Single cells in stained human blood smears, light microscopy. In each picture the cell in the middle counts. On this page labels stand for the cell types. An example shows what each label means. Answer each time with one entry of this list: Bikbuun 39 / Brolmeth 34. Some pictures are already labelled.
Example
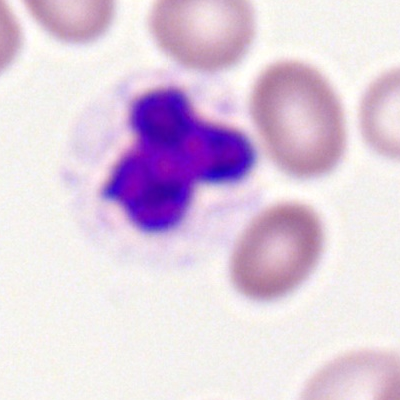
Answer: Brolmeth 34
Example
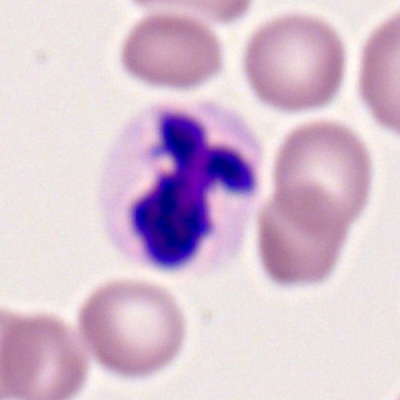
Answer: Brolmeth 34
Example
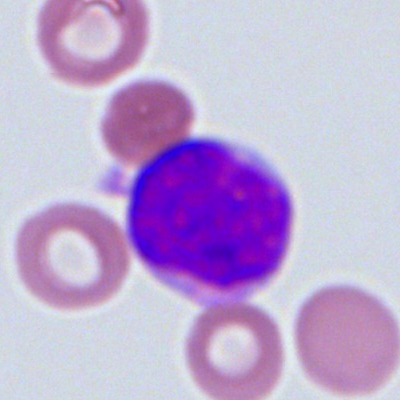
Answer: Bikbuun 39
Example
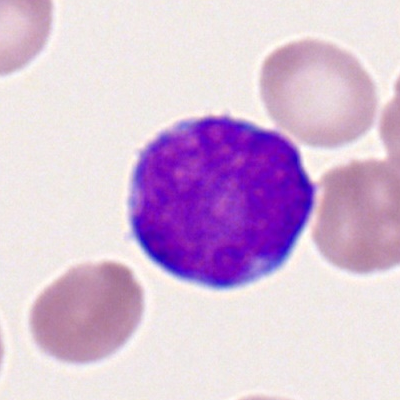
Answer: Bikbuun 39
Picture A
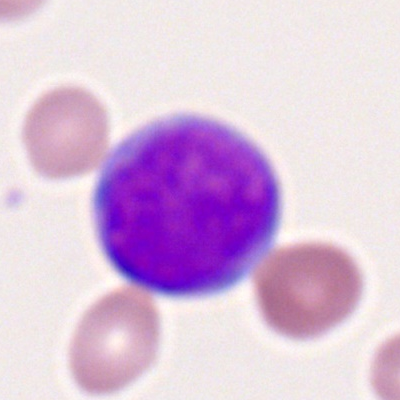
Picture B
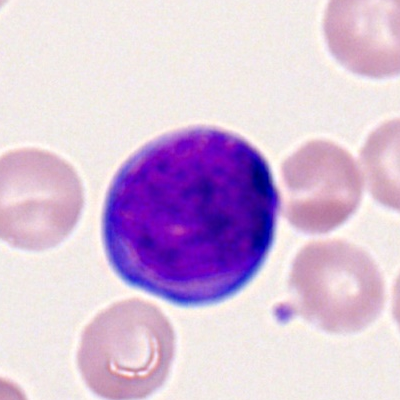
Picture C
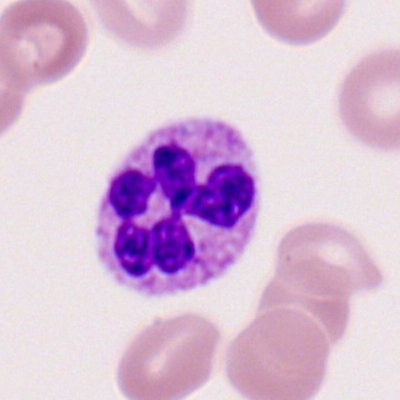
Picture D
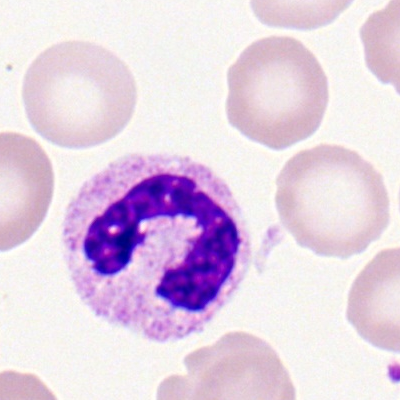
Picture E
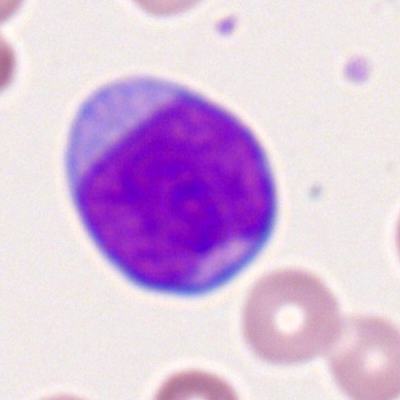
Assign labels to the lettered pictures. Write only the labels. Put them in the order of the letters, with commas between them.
Bikbuun 39, Bikbuun 39, Brolmeth 34, Brolmeth 34, Bikbuun 39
